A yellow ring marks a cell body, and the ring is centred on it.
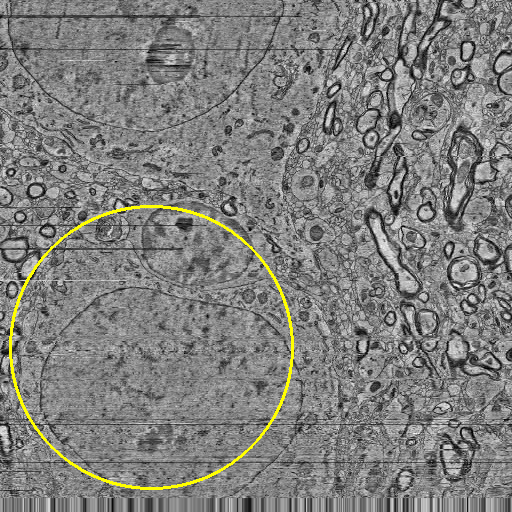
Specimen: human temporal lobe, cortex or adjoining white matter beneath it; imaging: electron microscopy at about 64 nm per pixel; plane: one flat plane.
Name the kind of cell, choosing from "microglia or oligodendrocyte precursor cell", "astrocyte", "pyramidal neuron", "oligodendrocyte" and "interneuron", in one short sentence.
The marked cell body belongs to a pyramidal neuron.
